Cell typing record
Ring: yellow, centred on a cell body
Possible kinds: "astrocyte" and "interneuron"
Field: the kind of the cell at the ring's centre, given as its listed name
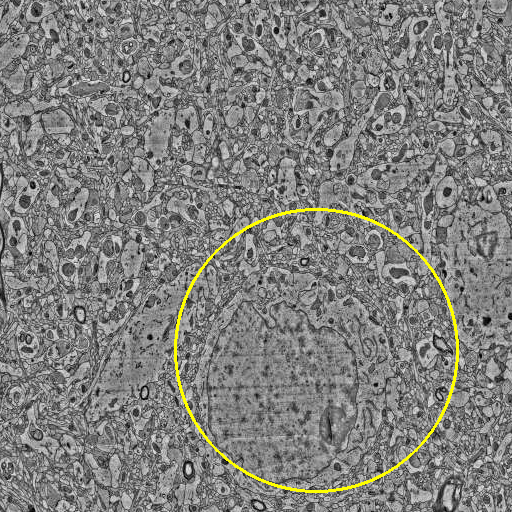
interneuron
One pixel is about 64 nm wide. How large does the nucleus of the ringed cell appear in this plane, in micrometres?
About 11 micrometres across in this plane, for the nucleus.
